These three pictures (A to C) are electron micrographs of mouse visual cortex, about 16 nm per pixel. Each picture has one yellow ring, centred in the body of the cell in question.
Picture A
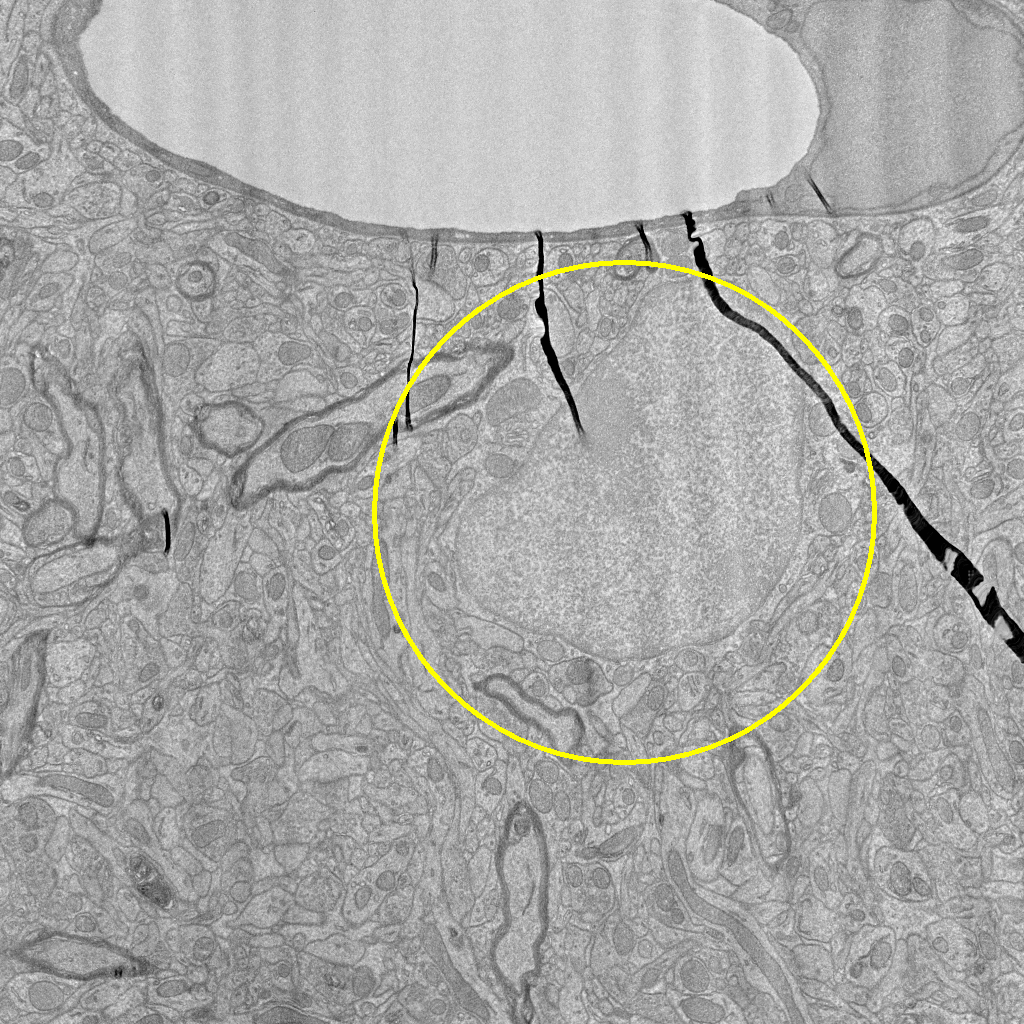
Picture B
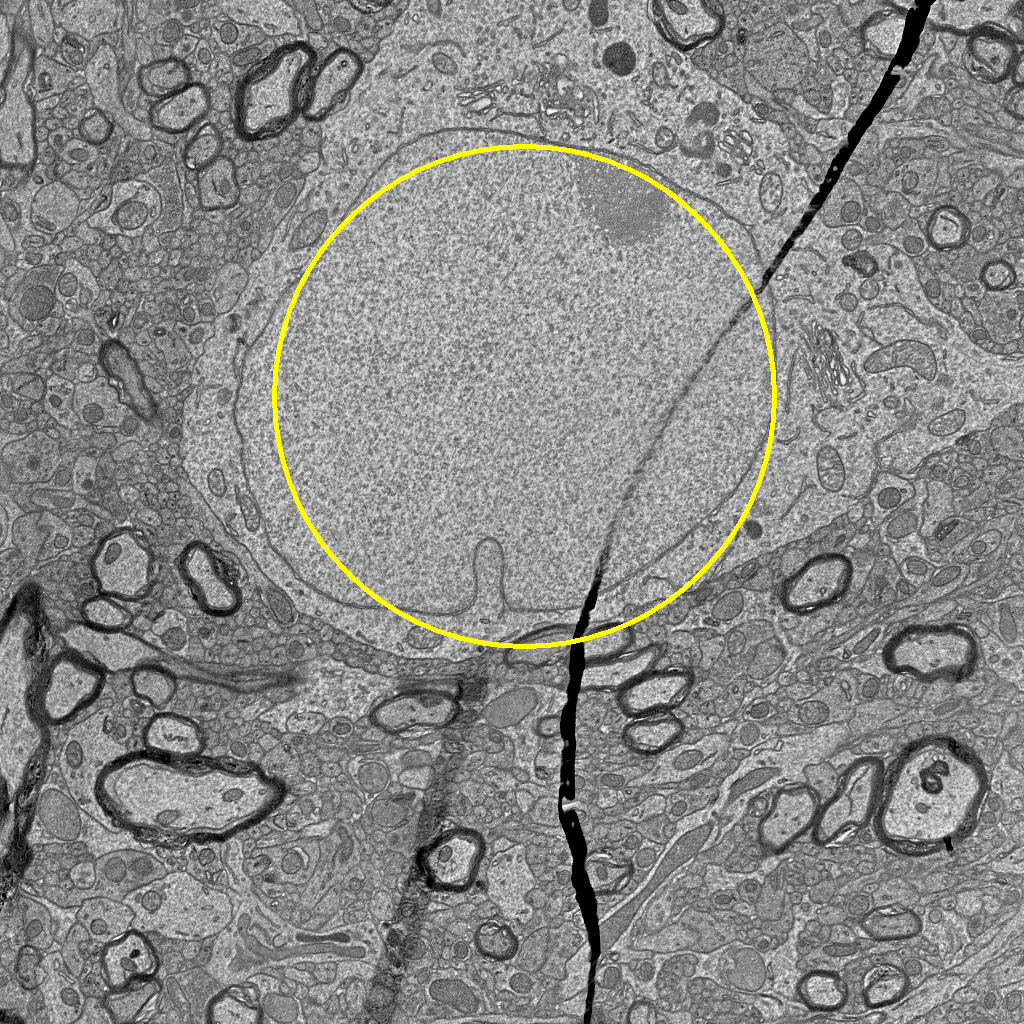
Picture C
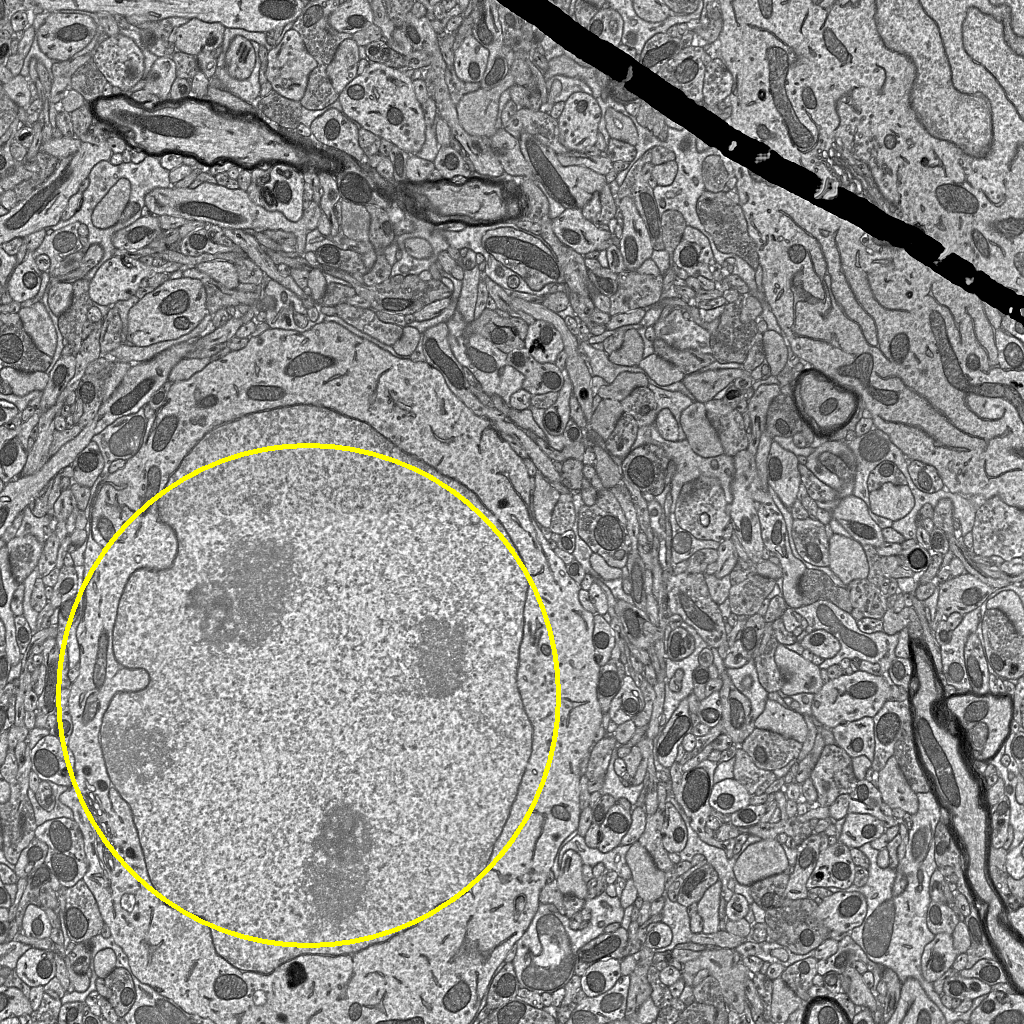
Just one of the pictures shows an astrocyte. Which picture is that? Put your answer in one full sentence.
Picture A shows the astrocyte.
